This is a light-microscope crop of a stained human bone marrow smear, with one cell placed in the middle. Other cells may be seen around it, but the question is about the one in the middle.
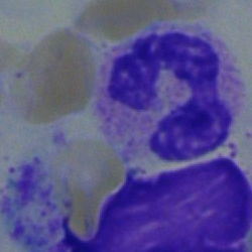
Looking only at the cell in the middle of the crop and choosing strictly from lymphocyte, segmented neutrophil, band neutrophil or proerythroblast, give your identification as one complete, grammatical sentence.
For this crop, the cell in the middle is a segmented neutrophil.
